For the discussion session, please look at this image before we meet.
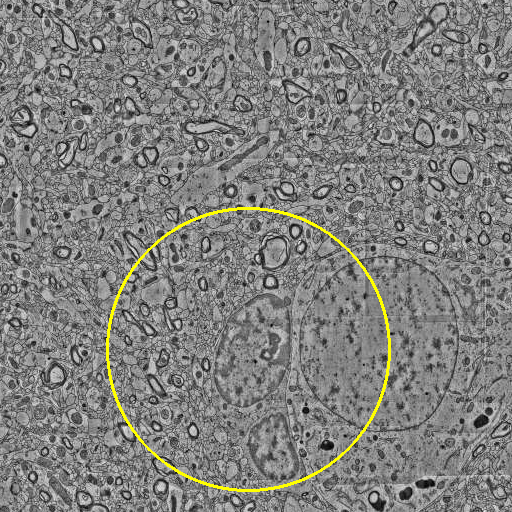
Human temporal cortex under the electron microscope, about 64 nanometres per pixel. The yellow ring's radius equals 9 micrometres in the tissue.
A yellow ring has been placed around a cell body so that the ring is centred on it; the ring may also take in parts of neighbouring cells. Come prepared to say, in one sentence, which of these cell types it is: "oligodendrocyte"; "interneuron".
The cell centred in the ring is an oligodendrocyte.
